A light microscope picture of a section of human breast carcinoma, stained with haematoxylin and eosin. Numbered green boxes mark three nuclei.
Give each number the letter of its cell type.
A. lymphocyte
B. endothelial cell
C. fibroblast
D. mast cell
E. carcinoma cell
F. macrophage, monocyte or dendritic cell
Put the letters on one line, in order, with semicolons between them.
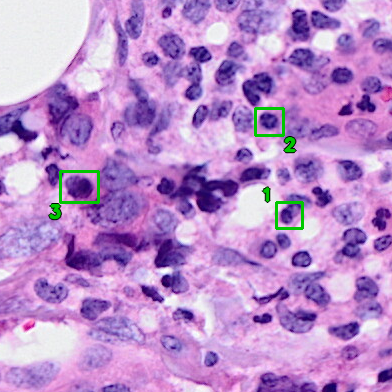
A; A; E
